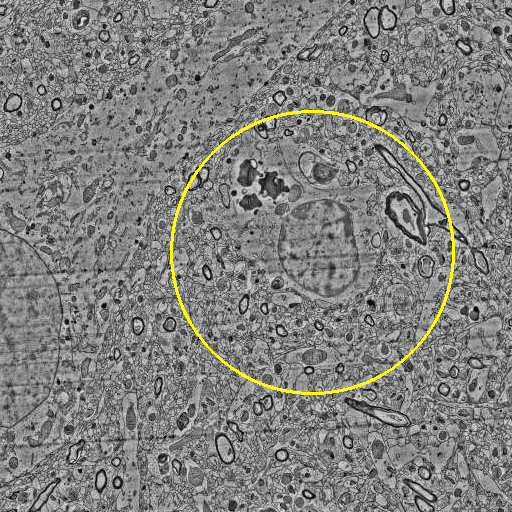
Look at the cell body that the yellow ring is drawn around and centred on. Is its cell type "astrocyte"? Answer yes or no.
yes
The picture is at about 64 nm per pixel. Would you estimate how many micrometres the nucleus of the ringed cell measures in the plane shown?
The nucleus works out at approximately 6 by 5 micrometres in this plane.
